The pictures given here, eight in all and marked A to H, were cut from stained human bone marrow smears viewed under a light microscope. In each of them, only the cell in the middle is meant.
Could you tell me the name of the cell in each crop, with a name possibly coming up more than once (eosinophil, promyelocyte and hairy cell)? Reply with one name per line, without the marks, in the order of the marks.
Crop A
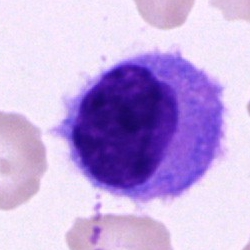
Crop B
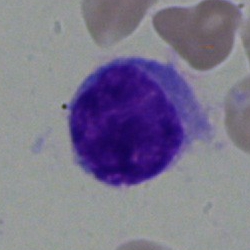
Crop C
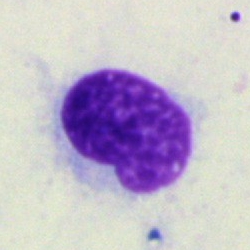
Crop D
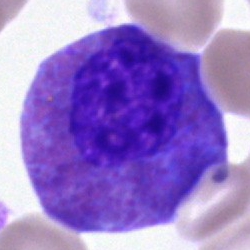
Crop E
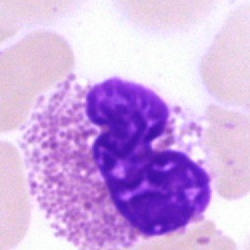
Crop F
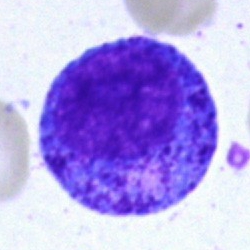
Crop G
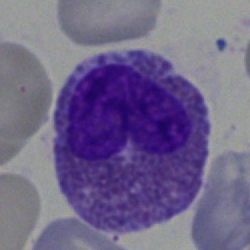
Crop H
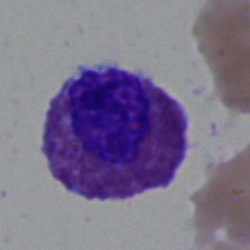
hairy cell
hairy cell
hairy cell
eosinophil
eosinophil
promyelocyte
eosinophil
eosinophil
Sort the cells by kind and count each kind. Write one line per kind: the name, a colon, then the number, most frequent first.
eosinophil: 4
hairy cell: 3
promyelocyte: 1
